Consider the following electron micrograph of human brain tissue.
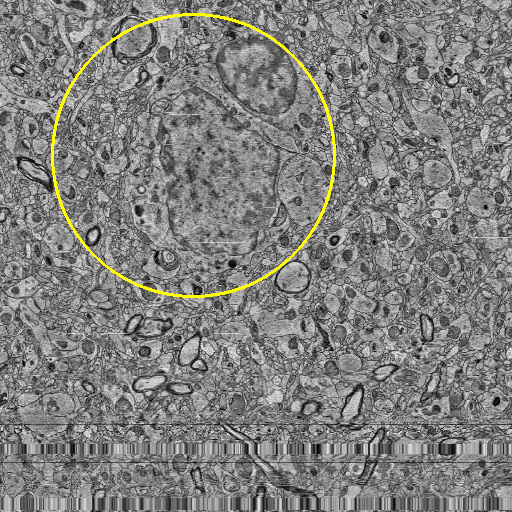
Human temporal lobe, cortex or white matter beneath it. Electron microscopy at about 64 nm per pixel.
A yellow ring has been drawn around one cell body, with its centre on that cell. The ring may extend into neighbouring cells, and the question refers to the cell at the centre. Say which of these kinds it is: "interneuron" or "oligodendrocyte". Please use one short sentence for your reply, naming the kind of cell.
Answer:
The centre of the ring falls on an interneuron.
